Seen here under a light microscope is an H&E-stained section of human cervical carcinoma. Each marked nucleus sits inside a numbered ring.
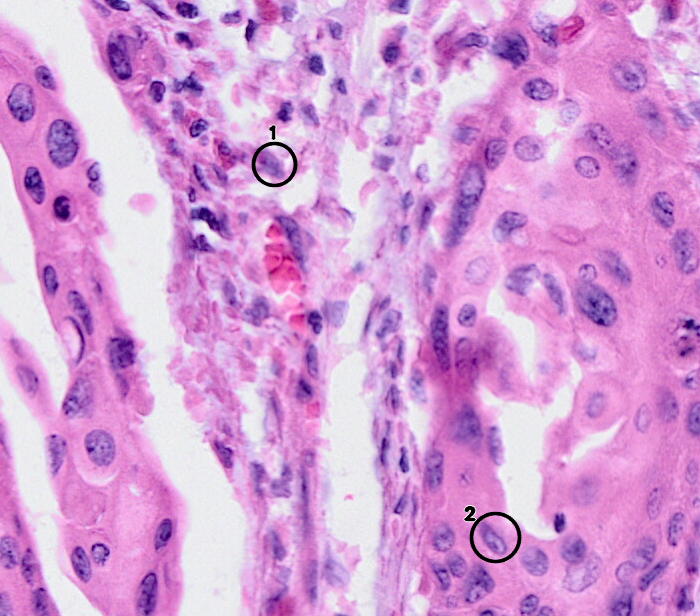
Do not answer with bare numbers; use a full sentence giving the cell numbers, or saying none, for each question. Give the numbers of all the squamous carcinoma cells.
Of all the numbered cells, only one is a squamous carcinoma cell, and that is cell 2.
